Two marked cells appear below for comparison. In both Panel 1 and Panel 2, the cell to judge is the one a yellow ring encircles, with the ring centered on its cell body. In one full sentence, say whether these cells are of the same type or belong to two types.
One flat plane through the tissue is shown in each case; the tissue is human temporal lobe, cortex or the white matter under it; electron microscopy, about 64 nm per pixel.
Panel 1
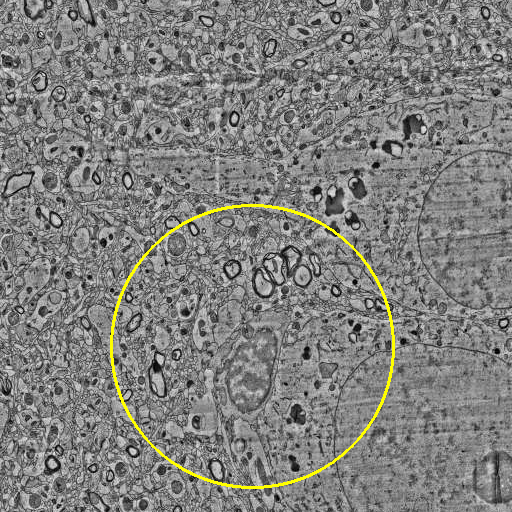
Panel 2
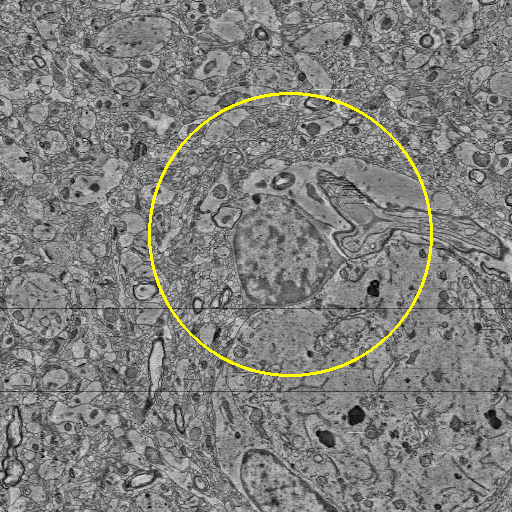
The cell centered in the Panel 1 ring and the one in Panel 2 are of the same type.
